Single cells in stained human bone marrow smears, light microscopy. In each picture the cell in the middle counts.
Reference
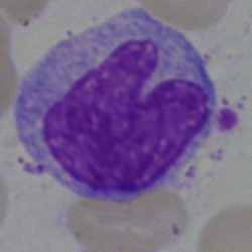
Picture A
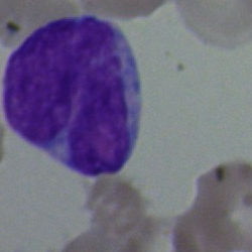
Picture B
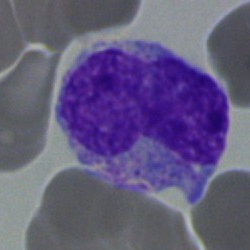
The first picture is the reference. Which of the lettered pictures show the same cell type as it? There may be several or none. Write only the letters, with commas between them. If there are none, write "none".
B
